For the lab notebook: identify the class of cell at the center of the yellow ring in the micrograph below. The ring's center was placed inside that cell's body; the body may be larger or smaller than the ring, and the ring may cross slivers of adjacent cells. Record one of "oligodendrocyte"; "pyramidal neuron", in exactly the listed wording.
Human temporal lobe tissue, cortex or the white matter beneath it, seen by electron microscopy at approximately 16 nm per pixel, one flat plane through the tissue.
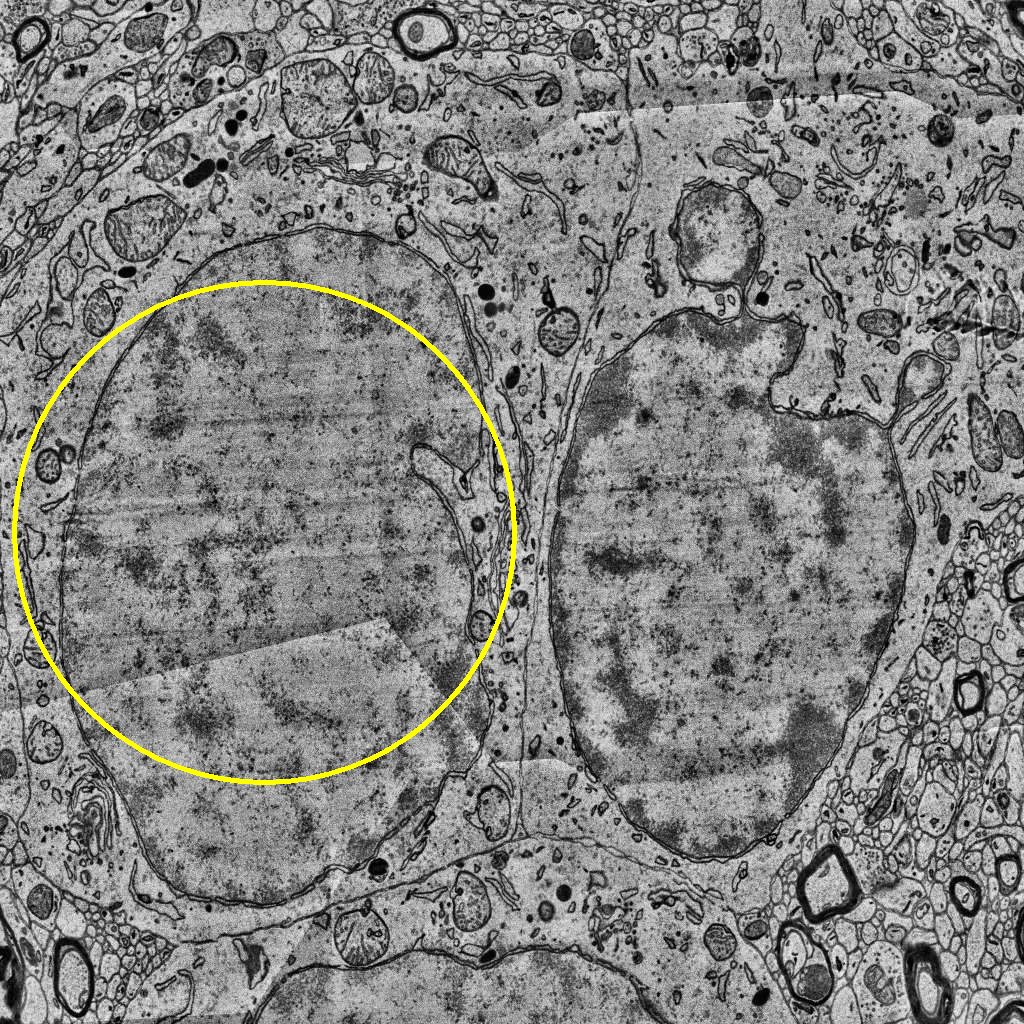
pyramidal neuron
